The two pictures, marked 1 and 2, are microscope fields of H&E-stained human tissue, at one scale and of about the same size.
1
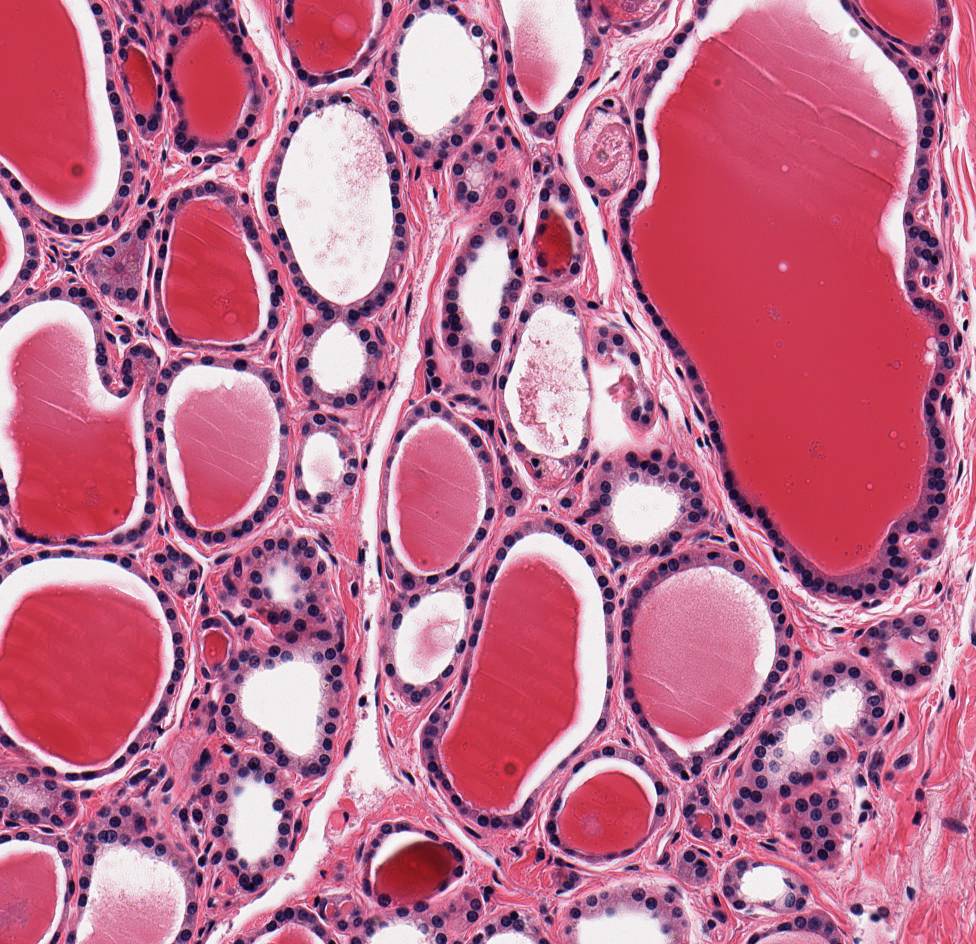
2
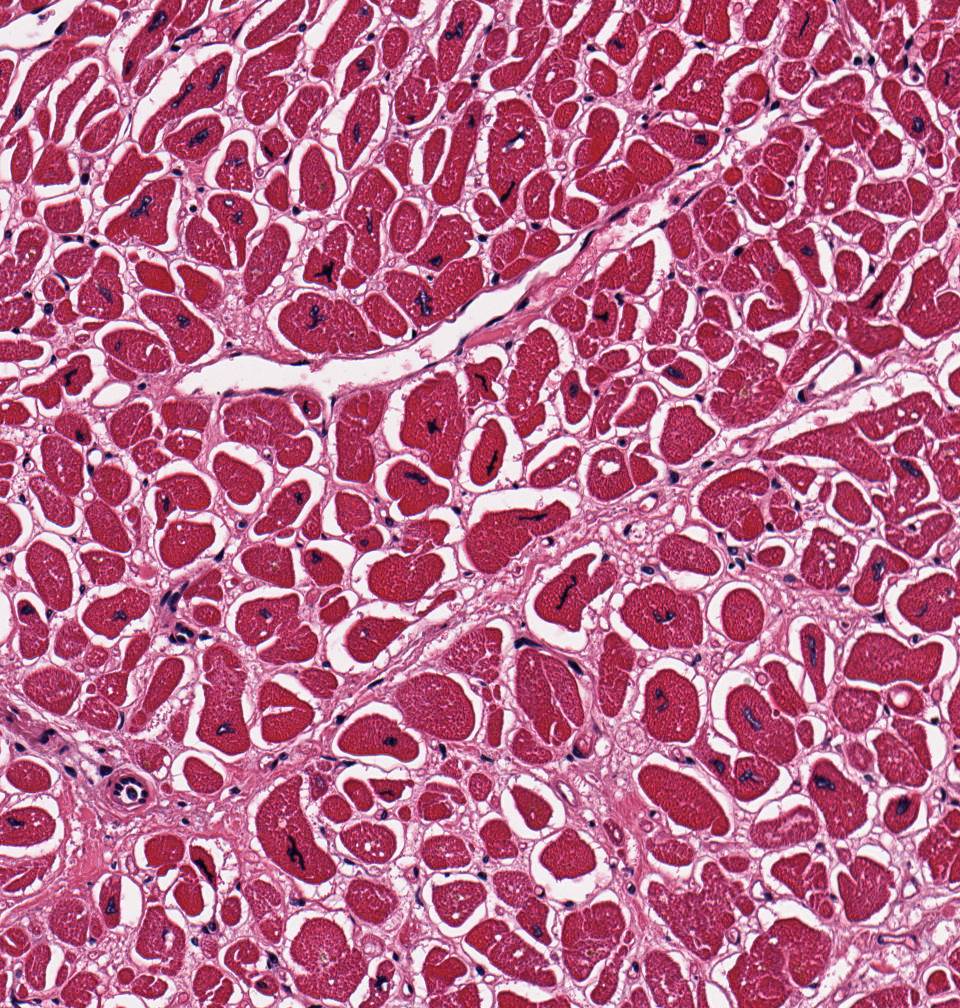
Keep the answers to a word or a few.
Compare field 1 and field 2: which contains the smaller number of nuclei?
2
